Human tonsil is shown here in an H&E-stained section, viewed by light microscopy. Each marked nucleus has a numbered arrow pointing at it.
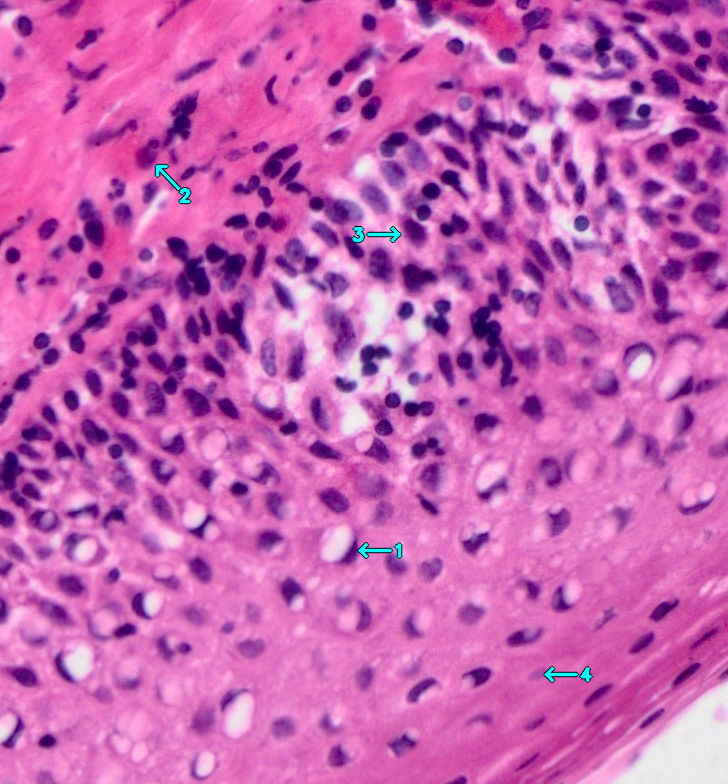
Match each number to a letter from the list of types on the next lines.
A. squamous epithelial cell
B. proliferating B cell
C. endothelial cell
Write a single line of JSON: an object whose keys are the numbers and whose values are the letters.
{"1": "A", "2": "C", "3": "A", "4": "A"}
